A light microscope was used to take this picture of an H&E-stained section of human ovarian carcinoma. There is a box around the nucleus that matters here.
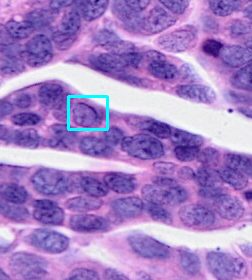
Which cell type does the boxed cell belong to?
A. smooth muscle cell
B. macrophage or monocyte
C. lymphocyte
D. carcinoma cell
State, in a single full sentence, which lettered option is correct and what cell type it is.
Under option D, the boxed cell is listed as a carcinoma cell, which is correct.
